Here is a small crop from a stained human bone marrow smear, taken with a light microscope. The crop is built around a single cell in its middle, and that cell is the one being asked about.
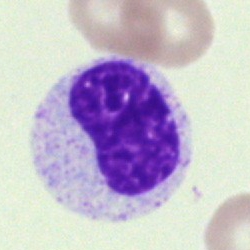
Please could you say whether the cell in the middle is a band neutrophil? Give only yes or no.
no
